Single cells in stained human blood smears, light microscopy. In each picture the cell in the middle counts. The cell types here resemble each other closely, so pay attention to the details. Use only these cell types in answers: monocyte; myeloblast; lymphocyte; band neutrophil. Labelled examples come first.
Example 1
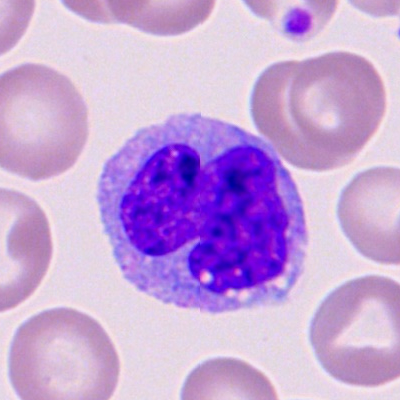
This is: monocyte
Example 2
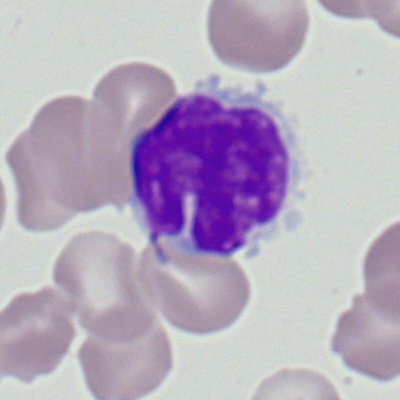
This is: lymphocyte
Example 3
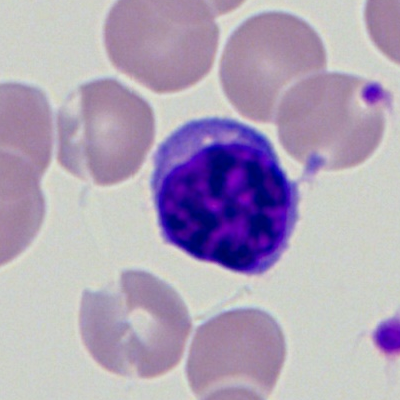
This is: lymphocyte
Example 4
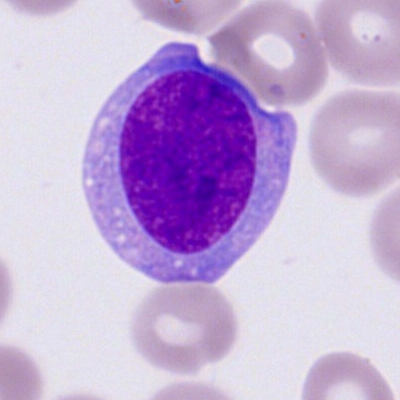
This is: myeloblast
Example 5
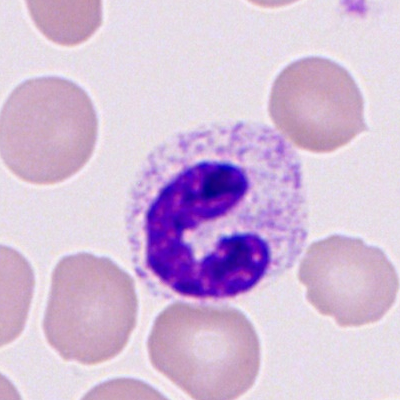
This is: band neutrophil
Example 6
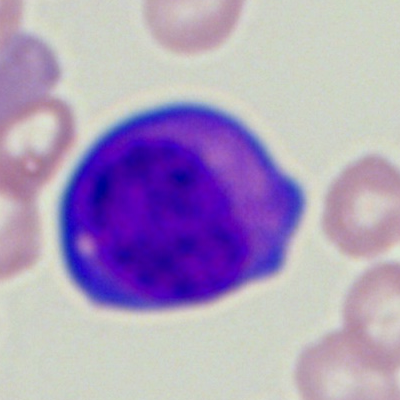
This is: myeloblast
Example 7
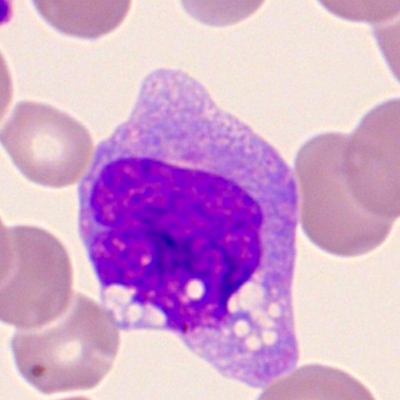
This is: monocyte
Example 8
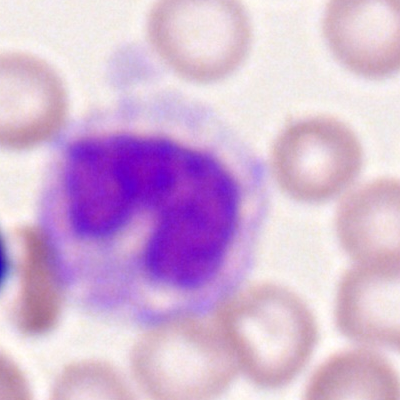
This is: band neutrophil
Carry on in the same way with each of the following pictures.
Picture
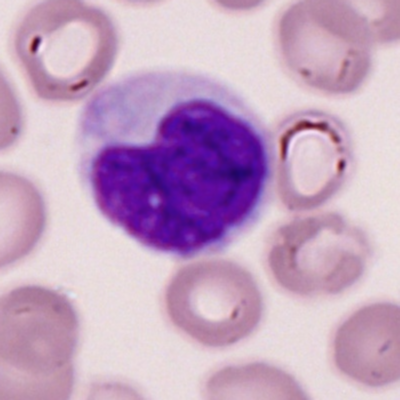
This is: lymphocyte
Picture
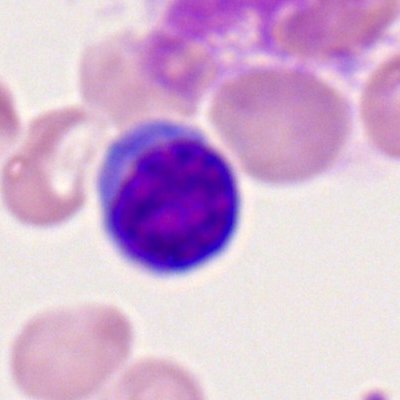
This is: lymphocyte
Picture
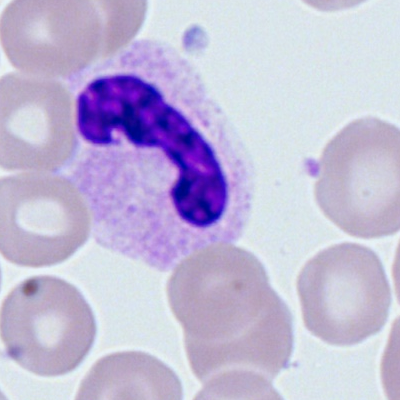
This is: band neutrophil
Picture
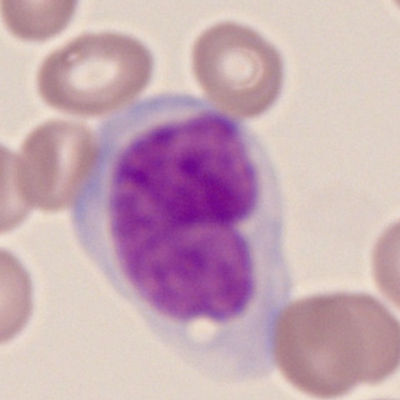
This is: monocyte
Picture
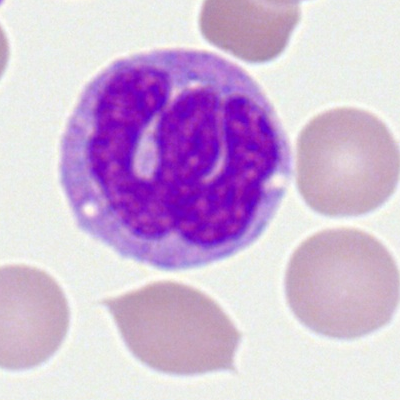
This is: monocyte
